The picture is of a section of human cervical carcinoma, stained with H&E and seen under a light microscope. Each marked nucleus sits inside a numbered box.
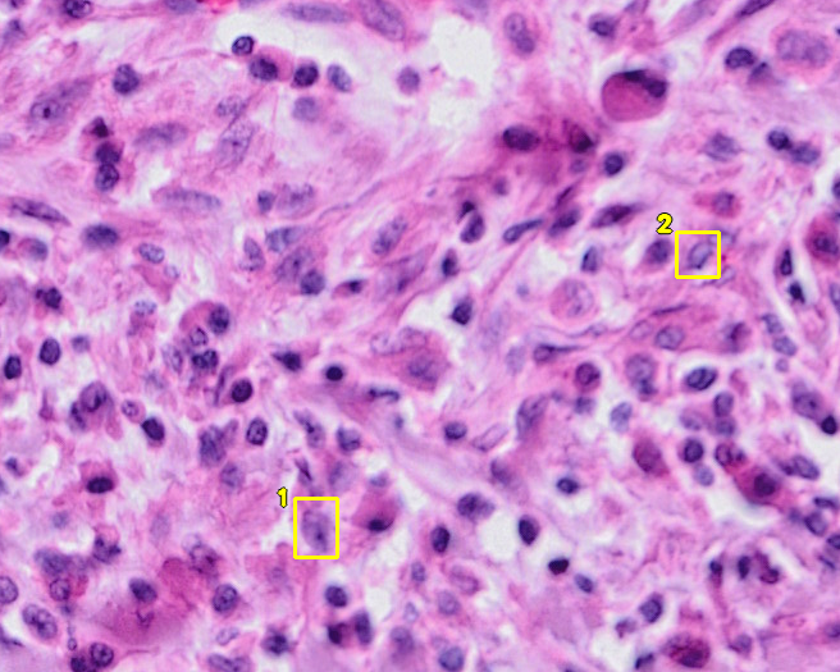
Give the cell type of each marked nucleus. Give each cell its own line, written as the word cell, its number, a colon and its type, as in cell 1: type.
cell 1: macrophage or monocyte
cell 2: endothelial cell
